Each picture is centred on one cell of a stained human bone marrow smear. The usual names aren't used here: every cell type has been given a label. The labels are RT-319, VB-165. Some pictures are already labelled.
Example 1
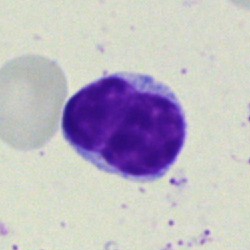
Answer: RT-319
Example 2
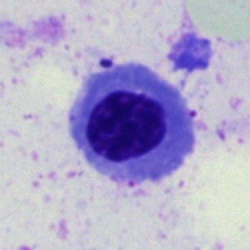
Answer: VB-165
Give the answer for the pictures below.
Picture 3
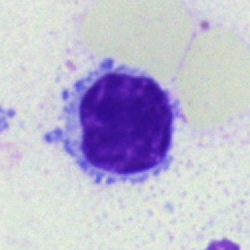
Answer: RT-319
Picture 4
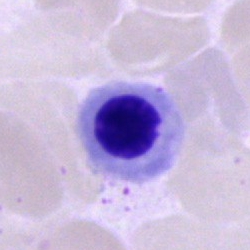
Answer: VB-165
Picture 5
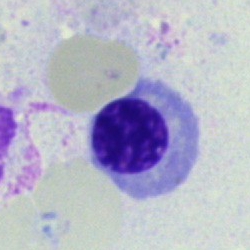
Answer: VB-165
